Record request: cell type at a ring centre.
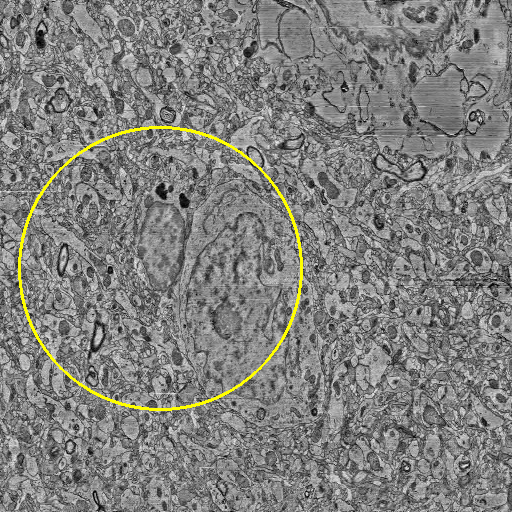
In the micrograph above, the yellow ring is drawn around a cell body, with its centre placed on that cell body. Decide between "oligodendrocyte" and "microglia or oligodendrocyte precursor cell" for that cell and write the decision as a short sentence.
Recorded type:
The cell centred in the yellow ring is an oligodendrocyte.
